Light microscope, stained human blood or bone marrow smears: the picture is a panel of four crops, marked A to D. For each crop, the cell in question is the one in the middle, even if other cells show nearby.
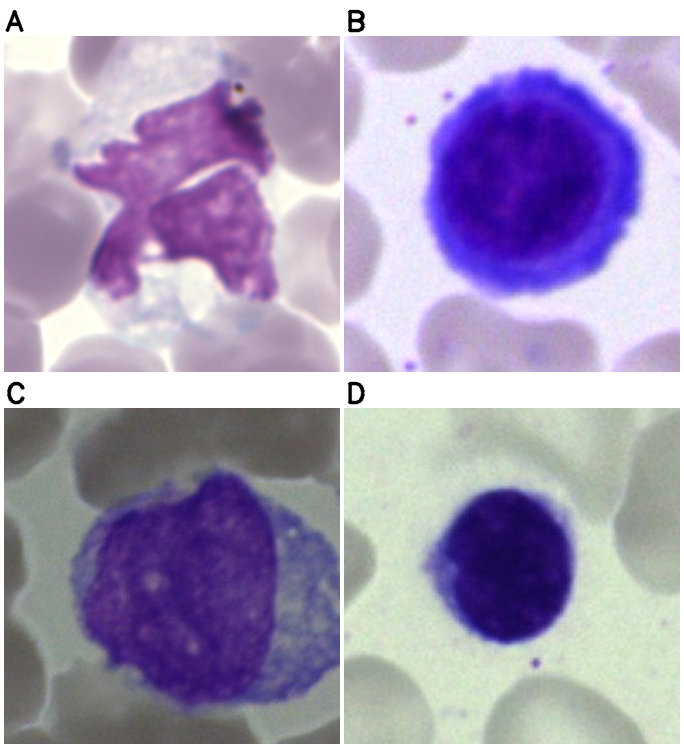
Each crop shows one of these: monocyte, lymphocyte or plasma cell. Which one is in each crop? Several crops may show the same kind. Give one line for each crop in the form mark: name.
A: monocyte
B: plasma cell
C: monocyte
D: lymphocyte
